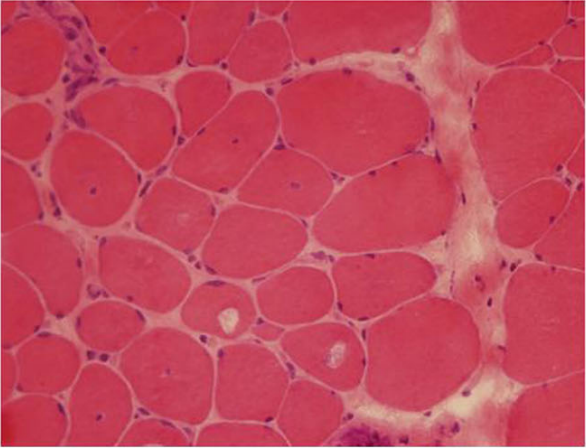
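This is skeletal muscle cut in cross-section, showing myofibers as rounded to polygonal pink profiles separated by thin pale connective tissue. The fibers vary in size, with some large and some clearly smaller ones lying side by side. A broader band of pale connective tissue runs through the field between groups of fibers. Two fibers contain small pale, empty-looking spaces within their pink cytoplasm.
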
